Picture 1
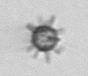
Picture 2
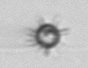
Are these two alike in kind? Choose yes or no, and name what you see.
Yes. Rhabdosphaera.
